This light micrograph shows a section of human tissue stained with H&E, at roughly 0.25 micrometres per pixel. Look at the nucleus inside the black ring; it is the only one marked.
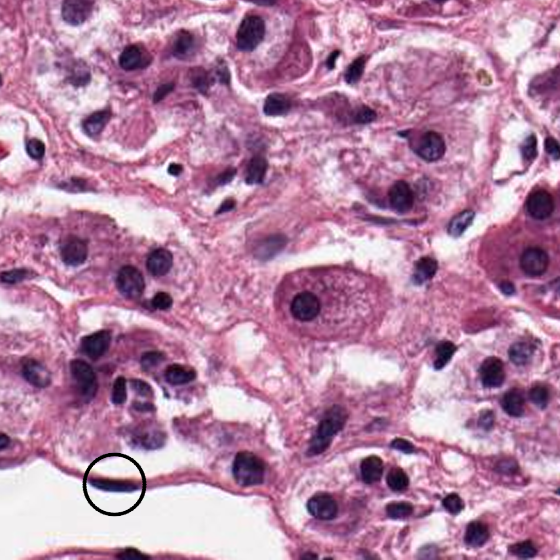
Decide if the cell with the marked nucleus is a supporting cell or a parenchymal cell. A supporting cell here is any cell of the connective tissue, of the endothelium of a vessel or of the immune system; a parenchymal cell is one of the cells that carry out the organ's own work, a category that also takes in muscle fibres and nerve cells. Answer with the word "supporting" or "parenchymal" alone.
supporting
